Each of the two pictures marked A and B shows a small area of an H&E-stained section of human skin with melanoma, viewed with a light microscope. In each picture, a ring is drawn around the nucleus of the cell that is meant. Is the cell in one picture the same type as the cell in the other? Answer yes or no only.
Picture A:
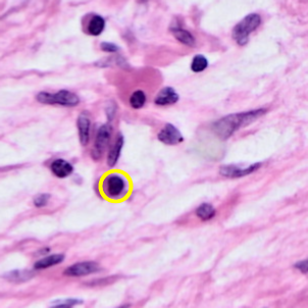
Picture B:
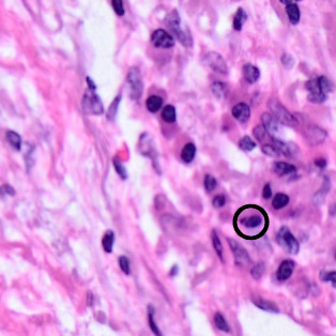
yes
